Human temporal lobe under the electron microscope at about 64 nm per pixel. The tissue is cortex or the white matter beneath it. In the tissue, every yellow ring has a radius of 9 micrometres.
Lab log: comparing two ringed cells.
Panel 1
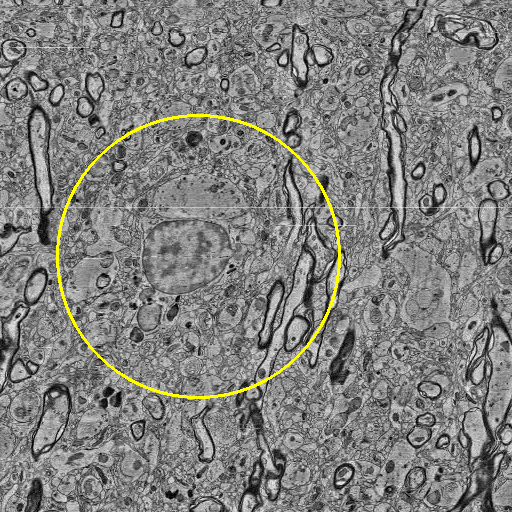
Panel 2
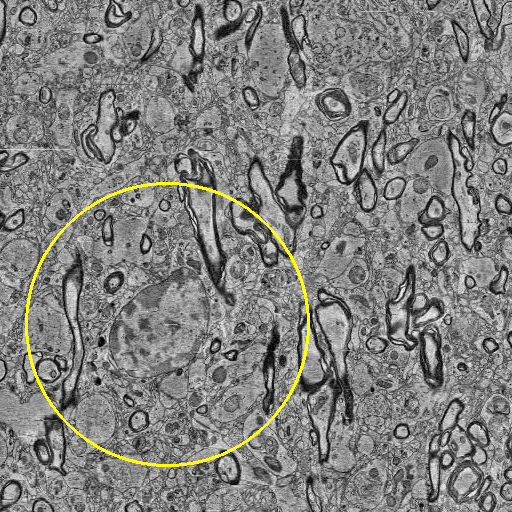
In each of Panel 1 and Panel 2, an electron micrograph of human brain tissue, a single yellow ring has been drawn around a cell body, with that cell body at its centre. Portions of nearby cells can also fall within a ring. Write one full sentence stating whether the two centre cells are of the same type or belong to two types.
The cells at the ring centres in Panel 1 and Panel 2 are of the same type.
